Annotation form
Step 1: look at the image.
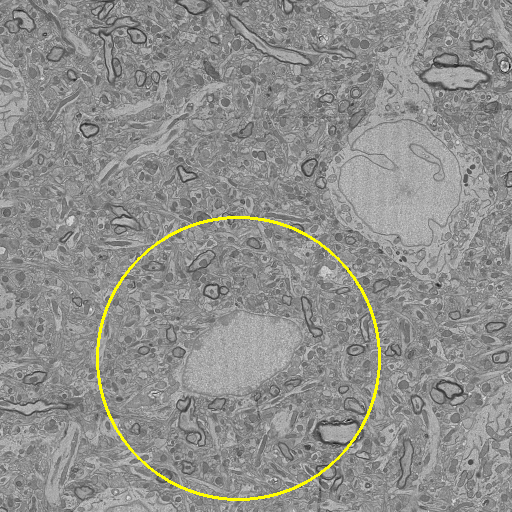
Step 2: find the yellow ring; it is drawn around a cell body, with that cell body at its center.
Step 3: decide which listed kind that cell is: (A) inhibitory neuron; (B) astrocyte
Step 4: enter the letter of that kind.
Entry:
B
